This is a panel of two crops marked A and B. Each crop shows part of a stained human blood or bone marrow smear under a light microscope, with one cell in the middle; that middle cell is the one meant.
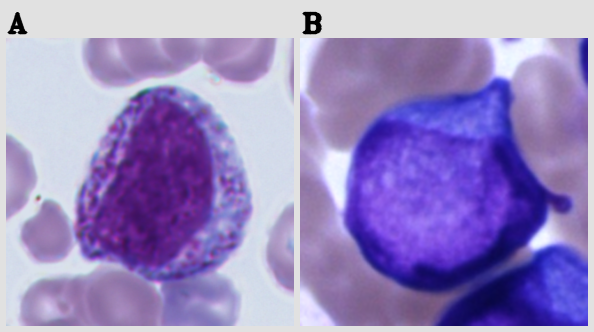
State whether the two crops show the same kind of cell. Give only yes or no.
no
